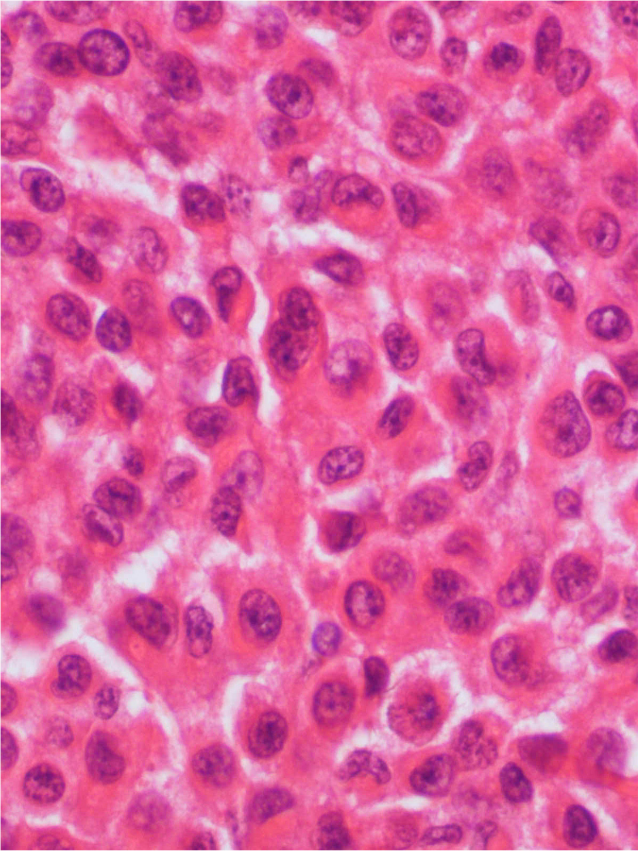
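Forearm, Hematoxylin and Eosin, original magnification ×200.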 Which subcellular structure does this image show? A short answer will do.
eosinophilic glassy cytoplasm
